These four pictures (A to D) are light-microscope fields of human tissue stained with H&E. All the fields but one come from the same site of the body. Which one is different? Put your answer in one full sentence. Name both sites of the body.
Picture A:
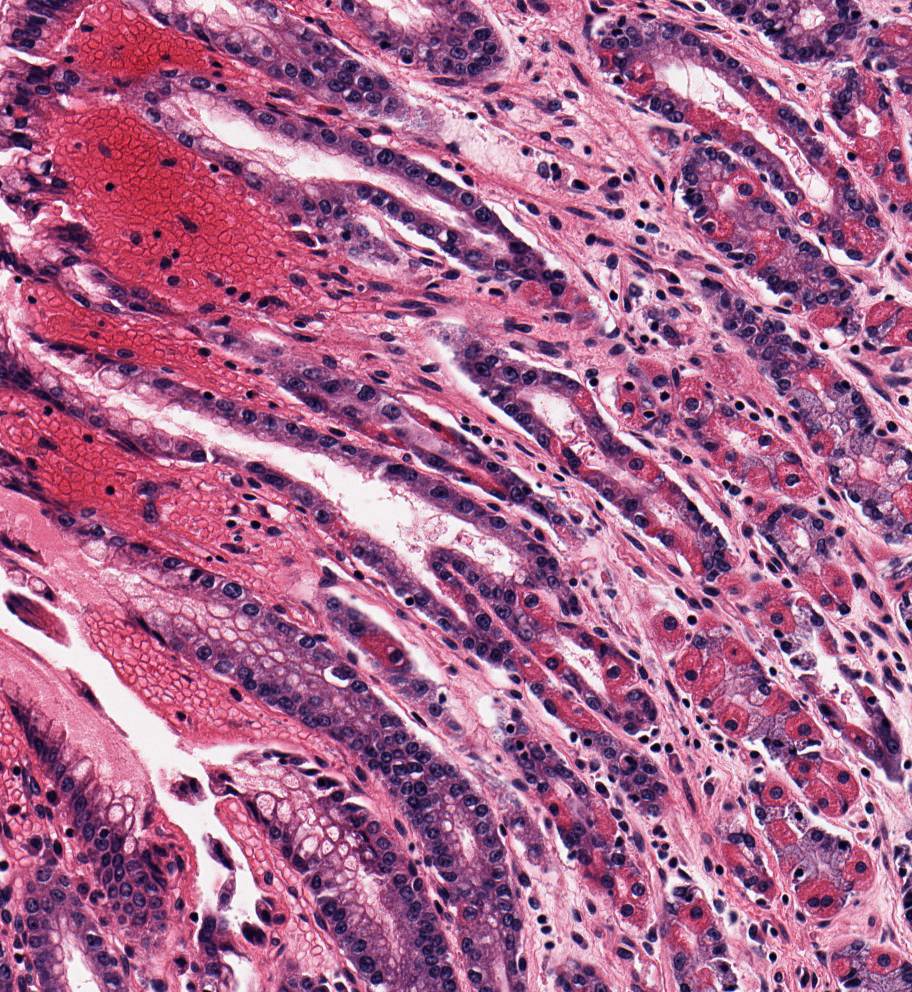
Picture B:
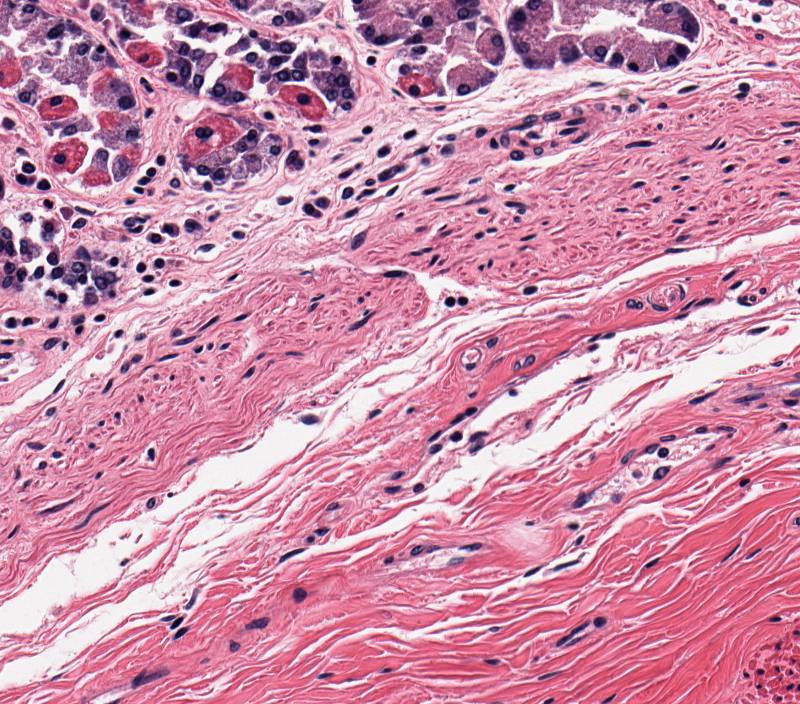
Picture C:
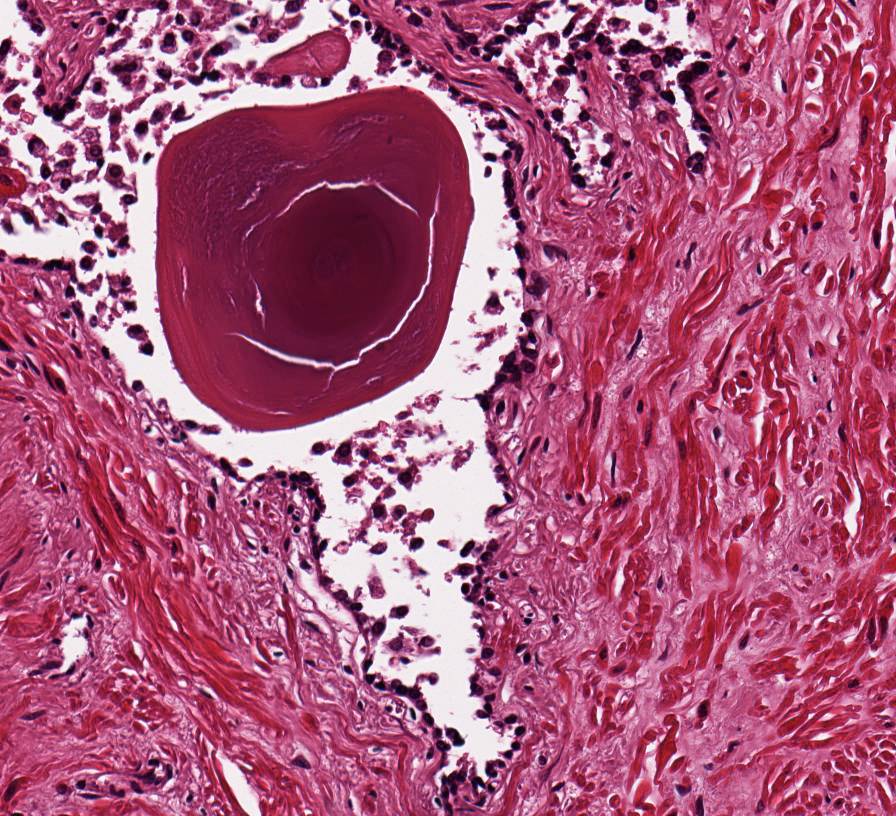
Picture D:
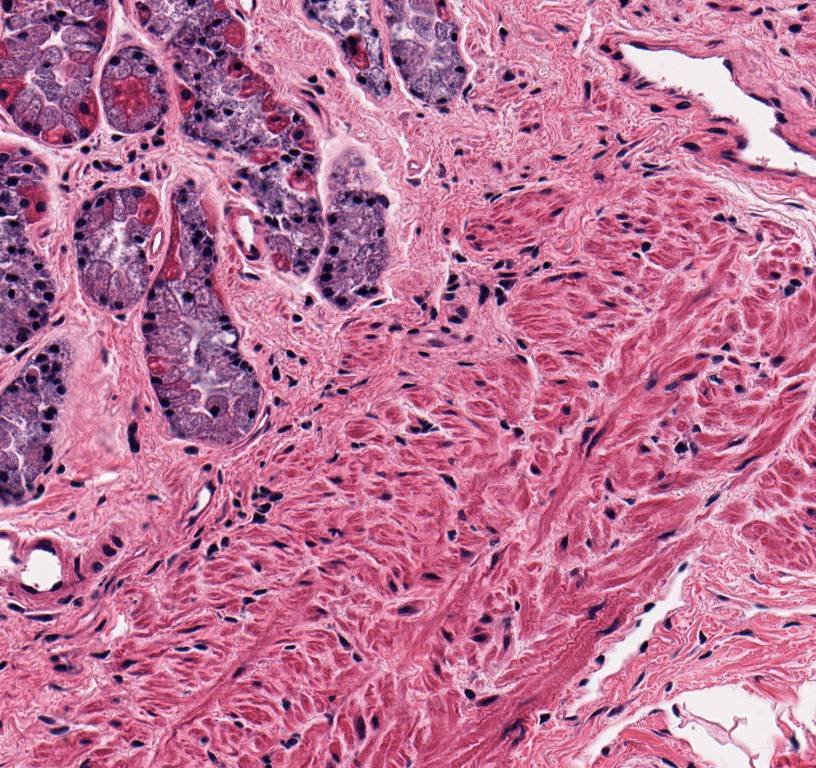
Picture C is the odd one out: it comes from the prostate, while the others come from the stomach.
